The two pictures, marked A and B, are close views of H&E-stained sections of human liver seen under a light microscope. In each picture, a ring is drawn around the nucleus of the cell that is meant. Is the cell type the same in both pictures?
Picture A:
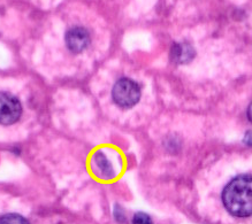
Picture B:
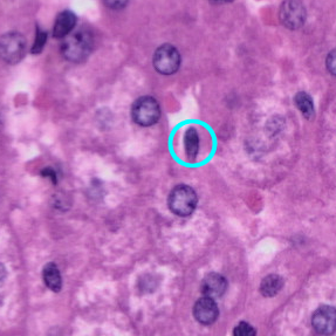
no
